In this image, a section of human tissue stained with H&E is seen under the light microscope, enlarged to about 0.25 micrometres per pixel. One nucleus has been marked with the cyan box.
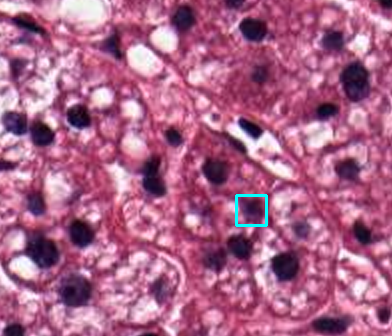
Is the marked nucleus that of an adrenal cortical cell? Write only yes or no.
yes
